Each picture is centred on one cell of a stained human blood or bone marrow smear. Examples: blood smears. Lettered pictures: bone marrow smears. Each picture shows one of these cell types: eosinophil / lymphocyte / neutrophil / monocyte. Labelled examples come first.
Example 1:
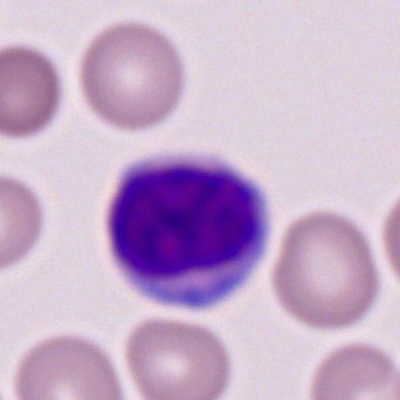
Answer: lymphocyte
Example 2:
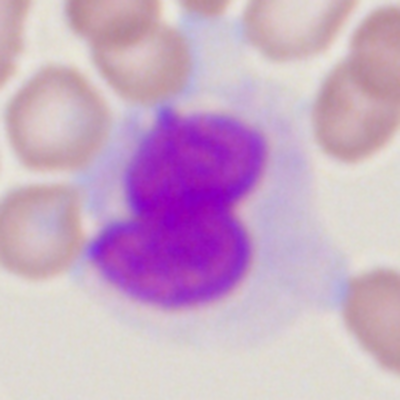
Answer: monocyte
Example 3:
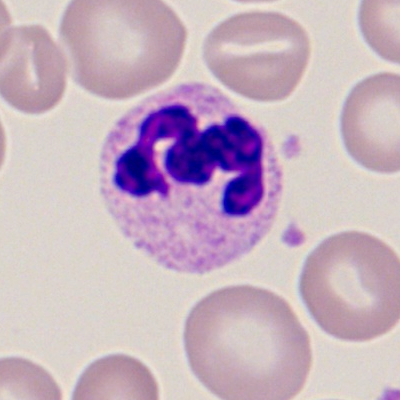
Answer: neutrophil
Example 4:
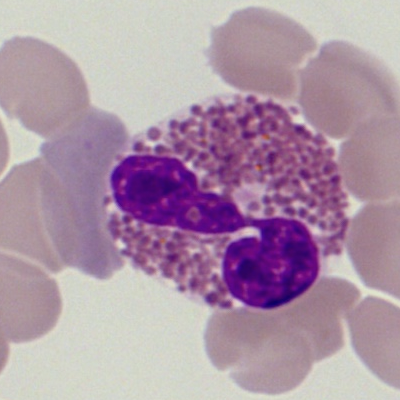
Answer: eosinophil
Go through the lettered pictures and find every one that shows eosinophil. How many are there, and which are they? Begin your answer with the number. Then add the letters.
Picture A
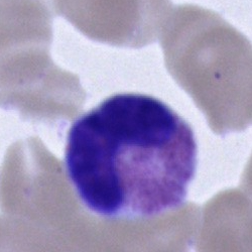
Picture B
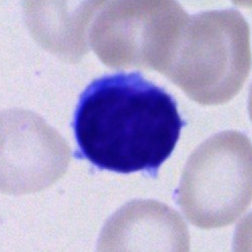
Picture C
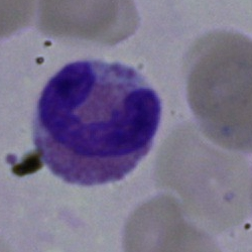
2, namely A, C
